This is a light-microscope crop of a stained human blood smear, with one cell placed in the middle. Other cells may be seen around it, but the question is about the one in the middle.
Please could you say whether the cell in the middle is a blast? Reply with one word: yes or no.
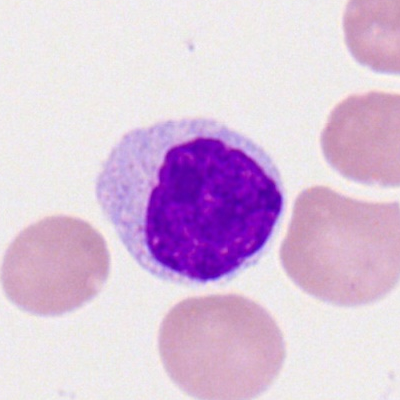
no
